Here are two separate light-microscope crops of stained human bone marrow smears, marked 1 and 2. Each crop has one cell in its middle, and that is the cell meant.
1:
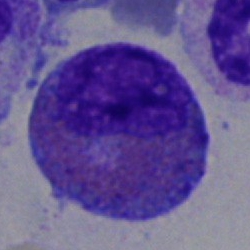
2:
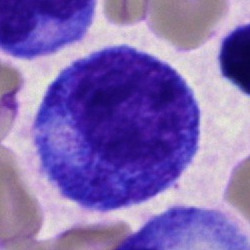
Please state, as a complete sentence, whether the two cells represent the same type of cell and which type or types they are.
No, look again: crop 1 shows an eosinophil, and crop 2 shows a promyelocyte.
